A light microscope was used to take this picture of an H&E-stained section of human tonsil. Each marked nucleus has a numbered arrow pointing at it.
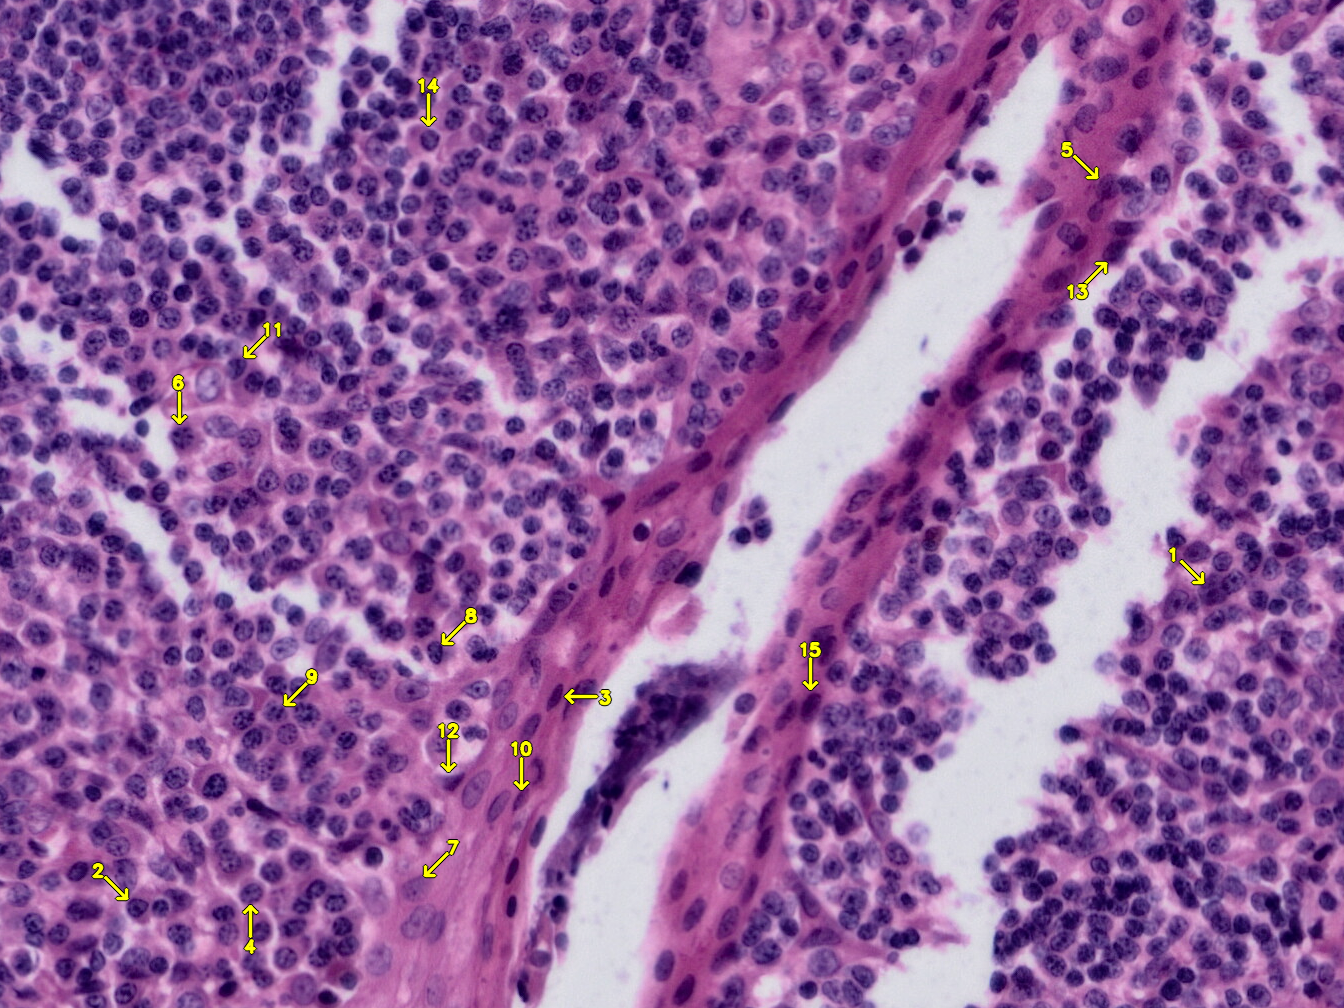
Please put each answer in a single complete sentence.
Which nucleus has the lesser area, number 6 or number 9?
The smaller nucleus is 9, and 6 covers roughly 1.5 times its area.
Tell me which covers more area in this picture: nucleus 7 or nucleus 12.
Of the two, number 7 is bigger and takes up about 1.5 times the area of number 12.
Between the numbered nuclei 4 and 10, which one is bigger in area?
Nucleus 4 covers more area, about 2 times as much as nucleus 10.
